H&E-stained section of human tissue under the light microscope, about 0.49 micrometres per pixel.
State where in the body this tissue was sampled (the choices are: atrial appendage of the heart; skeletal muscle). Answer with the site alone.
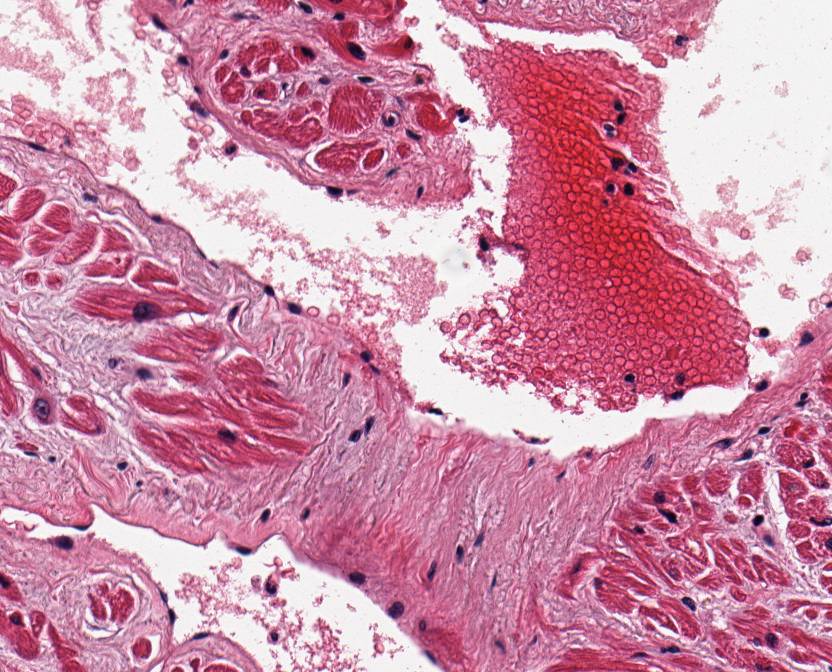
atrial appendage of the heart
